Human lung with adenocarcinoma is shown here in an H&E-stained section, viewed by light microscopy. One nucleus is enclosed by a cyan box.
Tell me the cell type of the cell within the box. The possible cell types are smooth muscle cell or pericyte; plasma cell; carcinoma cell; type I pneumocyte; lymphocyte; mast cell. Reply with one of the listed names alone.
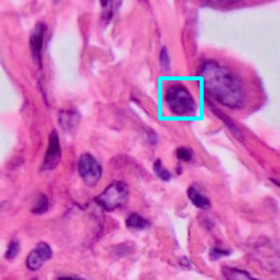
plasma cell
